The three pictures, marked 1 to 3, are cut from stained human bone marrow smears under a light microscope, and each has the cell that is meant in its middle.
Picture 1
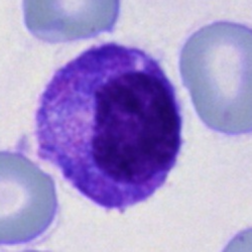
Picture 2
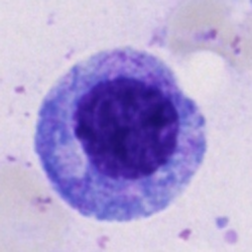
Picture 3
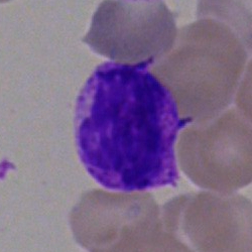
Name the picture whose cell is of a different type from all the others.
3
